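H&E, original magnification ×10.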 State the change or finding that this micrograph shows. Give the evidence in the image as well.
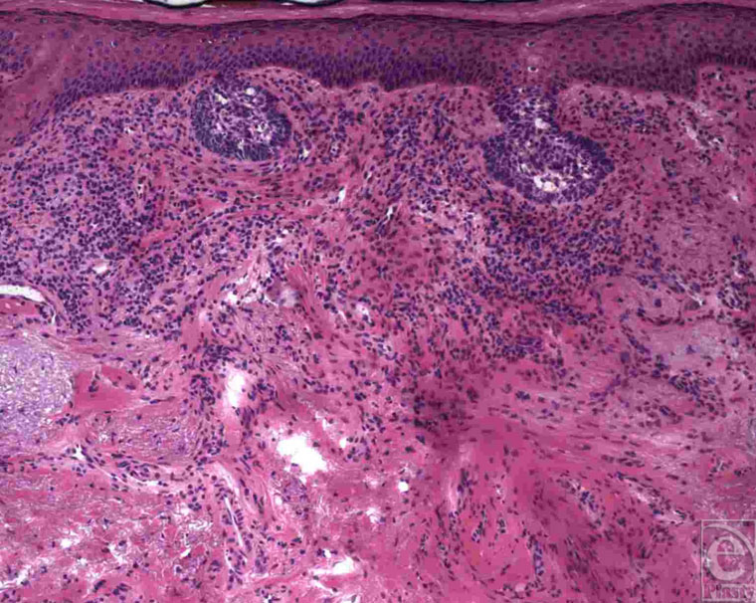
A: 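Two rounded nests of dark-staining basaloid cells hang from the underside of the epidermis. The nests sit at the junction of epidermis and dermis rather than deep in the dermis. The cells at the edges of the nests are lined up in a row along the border.
Answer: Superficial spreading basal cell carcinoma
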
